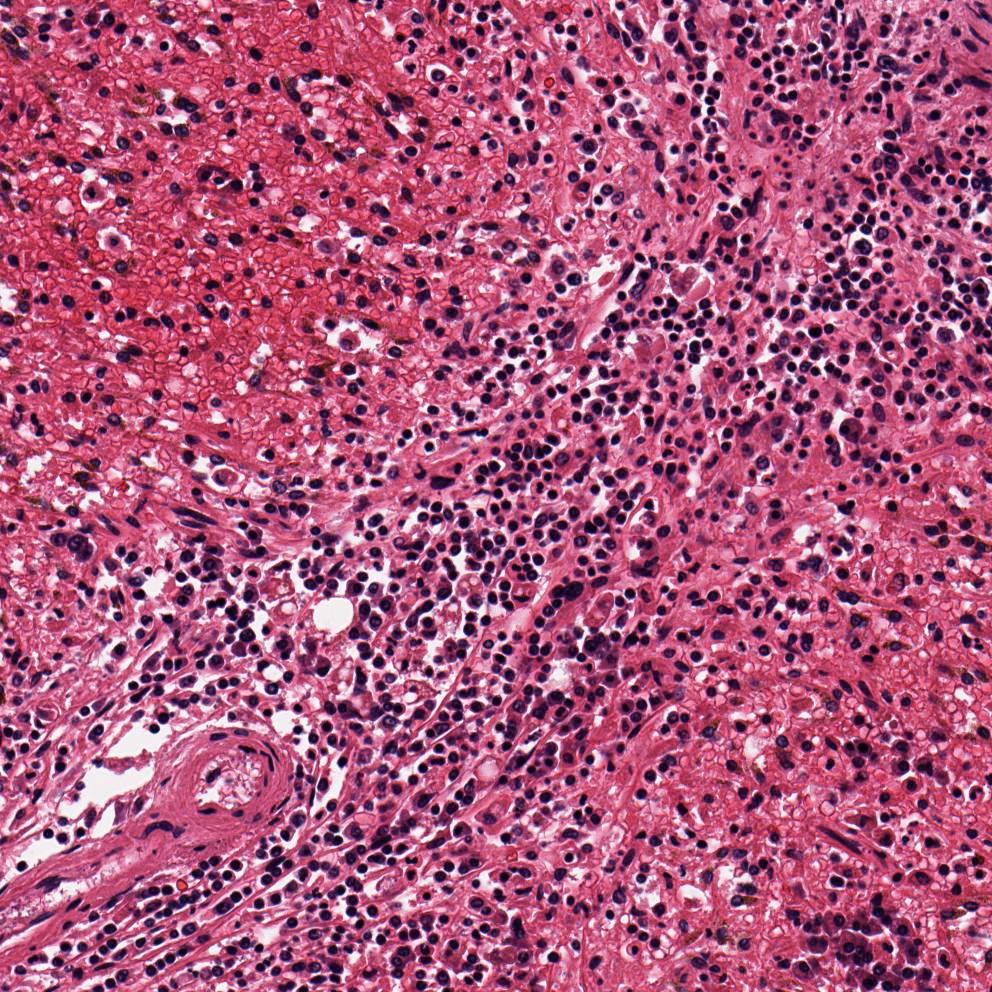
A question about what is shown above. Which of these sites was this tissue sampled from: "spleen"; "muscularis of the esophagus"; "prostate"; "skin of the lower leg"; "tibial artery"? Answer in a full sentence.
The site this tissue was sampled from is the spleen.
